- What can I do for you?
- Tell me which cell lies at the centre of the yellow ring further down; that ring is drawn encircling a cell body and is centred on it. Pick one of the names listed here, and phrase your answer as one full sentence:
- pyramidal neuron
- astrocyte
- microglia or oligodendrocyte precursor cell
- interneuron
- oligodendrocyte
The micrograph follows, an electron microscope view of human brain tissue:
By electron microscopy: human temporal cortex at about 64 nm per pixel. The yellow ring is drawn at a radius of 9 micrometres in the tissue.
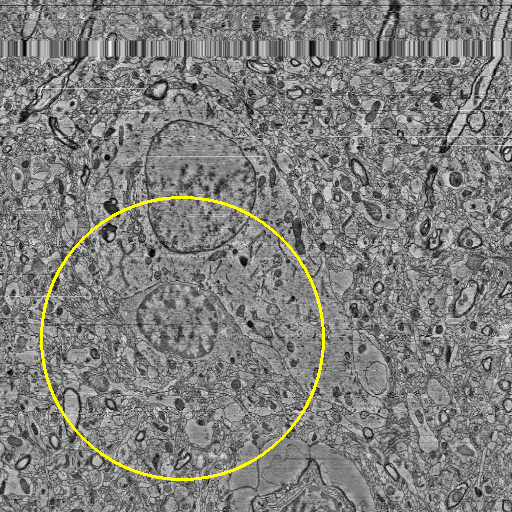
The cell whose body lies at the centre of the yellow ring is an oligodendrocyte.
